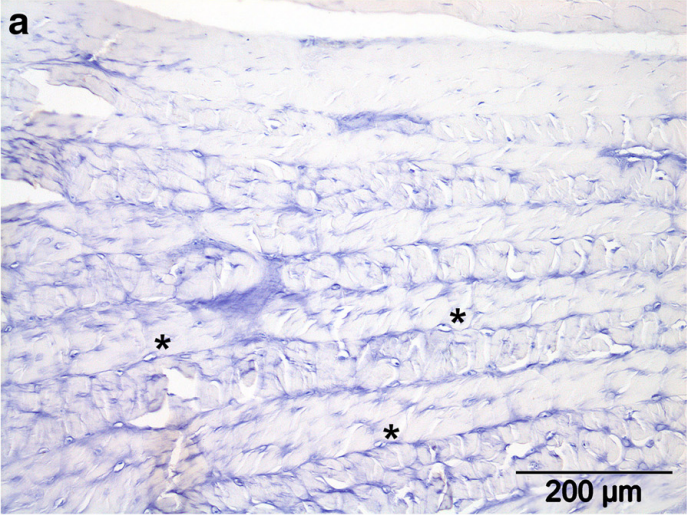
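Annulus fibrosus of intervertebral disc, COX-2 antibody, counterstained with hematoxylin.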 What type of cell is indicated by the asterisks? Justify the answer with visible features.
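Elongated, thin blue nuclei lie between fibre bundles. Cells are aligned along the fibre direction. The answer: spindle-shaped fibroblasts.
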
